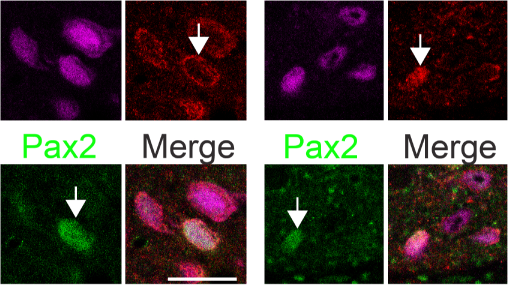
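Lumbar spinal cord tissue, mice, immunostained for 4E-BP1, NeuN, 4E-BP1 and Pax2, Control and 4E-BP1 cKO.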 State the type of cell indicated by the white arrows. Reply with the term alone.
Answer: Inhibitory neurons.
